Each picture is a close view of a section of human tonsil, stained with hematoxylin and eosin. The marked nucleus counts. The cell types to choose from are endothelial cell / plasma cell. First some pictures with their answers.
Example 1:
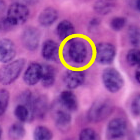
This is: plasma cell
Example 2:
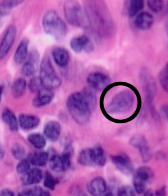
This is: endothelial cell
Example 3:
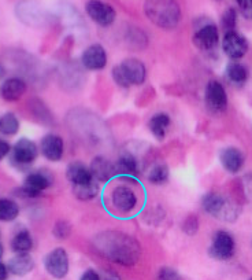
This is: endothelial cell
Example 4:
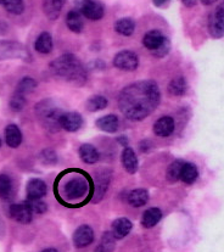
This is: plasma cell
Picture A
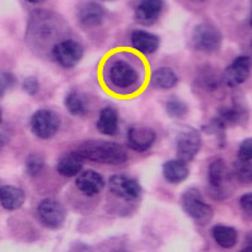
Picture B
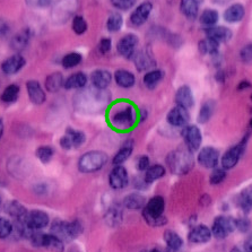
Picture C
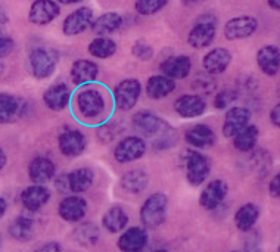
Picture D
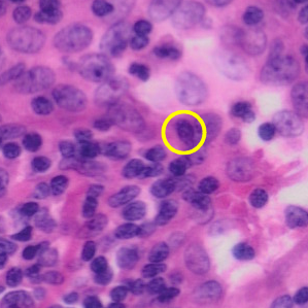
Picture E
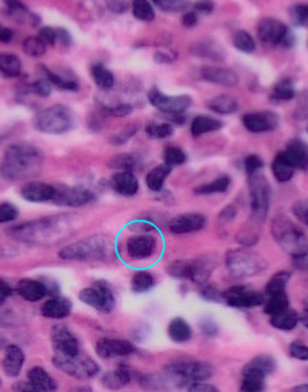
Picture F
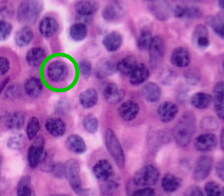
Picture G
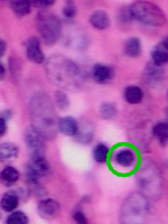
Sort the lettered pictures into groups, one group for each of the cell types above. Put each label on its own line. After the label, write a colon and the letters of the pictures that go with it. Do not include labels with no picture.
endothelial cell: B, D, E, G
plasma cell: A, C, F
